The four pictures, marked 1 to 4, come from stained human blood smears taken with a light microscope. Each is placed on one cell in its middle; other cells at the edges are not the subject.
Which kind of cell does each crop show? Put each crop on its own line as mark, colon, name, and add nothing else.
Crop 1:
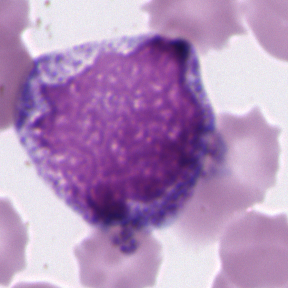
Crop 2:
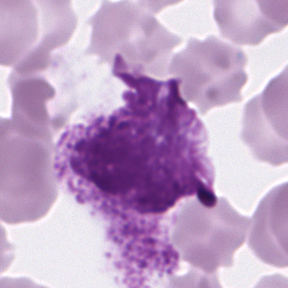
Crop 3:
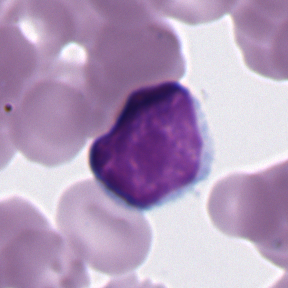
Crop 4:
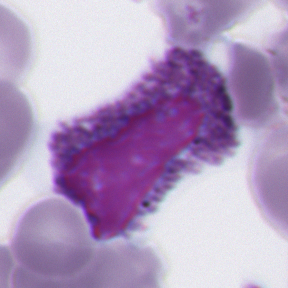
1: promyelocyte
2: eosinophil
3: lymphocyte
4: eosinophil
